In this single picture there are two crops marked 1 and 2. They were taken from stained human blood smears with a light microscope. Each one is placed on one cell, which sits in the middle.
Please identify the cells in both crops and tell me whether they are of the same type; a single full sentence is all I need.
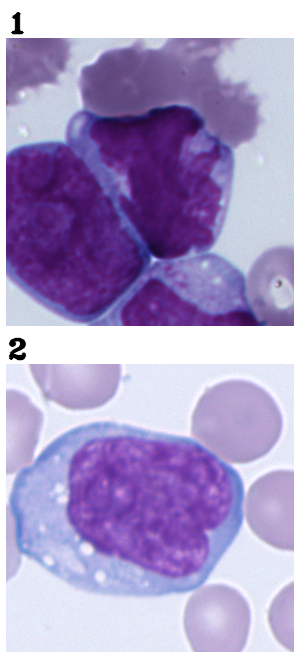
Yes, both crops are centred on cells that are myeloblasts.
